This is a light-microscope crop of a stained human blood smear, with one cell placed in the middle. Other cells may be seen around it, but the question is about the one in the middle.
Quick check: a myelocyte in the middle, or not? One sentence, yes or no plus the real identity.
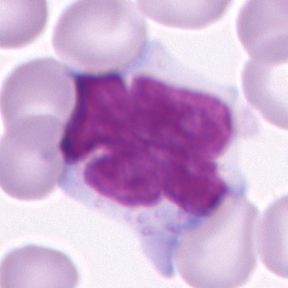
No, the correct answer for the middle cell is a large granular lymphocyte, not a myelocyte.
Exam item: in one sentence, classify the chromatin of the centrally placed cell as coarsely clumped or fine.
Heads up, the chromatin is fine with no coarse clumps in it.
